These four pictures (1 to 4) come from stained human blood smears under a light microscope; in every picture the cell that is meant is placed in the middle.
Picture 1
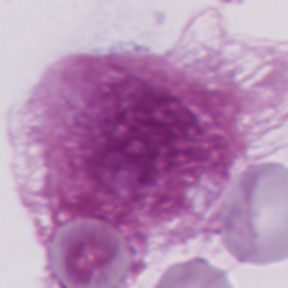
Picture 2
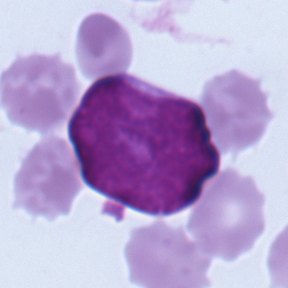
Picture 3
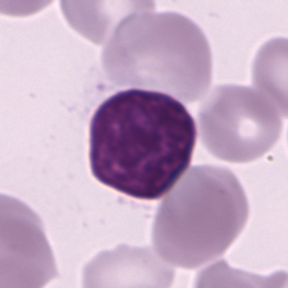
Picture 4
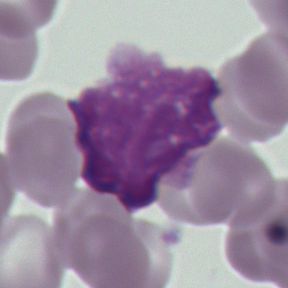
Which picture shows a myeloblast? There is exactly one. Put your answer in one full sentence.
The picture with the myeloblast is 2.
